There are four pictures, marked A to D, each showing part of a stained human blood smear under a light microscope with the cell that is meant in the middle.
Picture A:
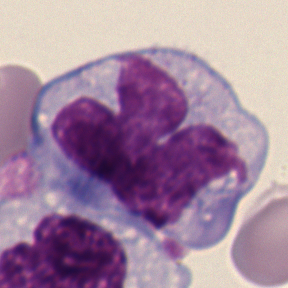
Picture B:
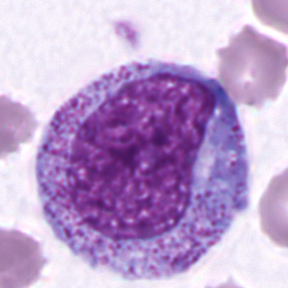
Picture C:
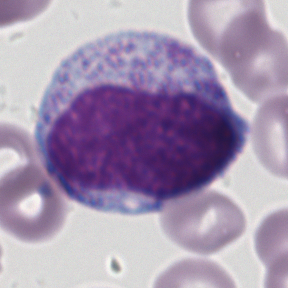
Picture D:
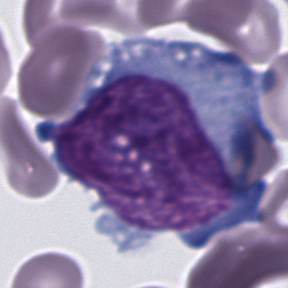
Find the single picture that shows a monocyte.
A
